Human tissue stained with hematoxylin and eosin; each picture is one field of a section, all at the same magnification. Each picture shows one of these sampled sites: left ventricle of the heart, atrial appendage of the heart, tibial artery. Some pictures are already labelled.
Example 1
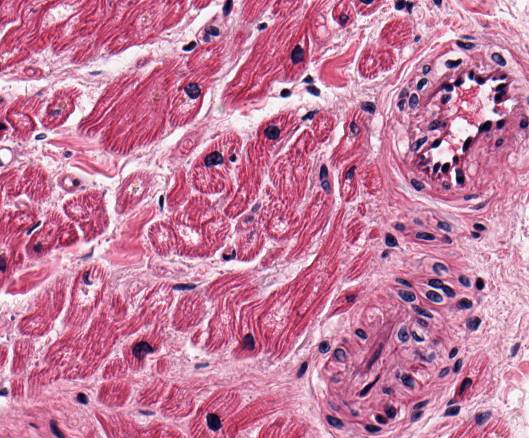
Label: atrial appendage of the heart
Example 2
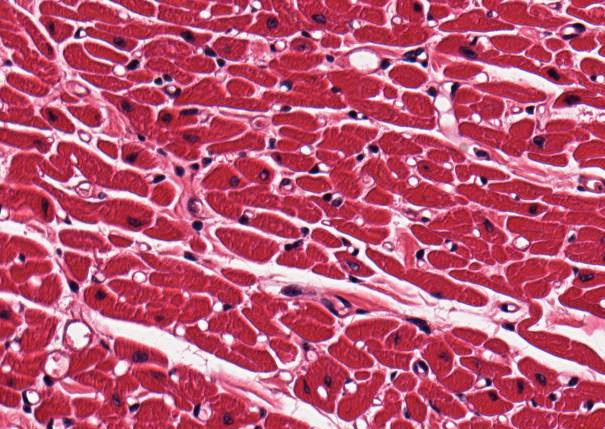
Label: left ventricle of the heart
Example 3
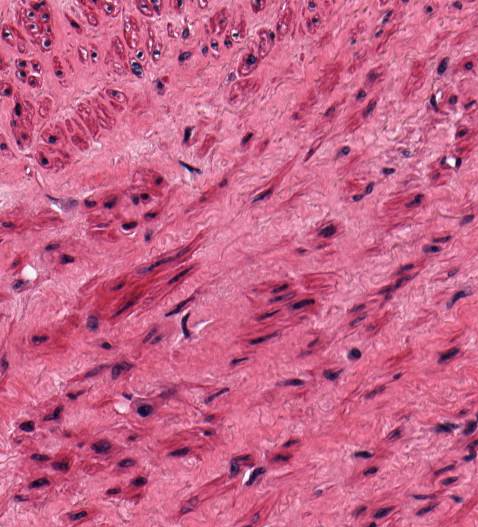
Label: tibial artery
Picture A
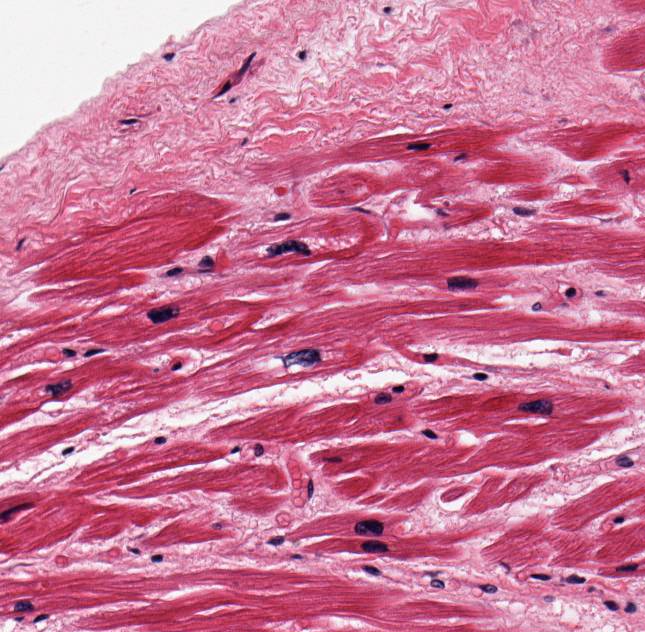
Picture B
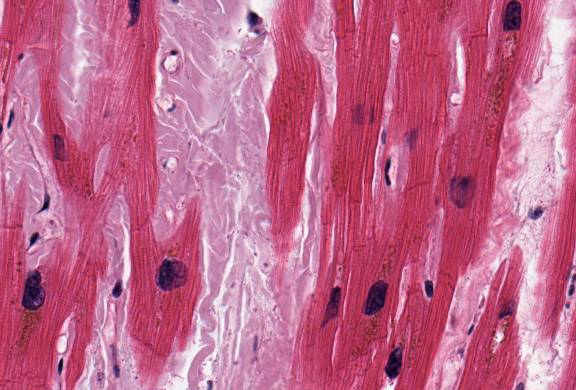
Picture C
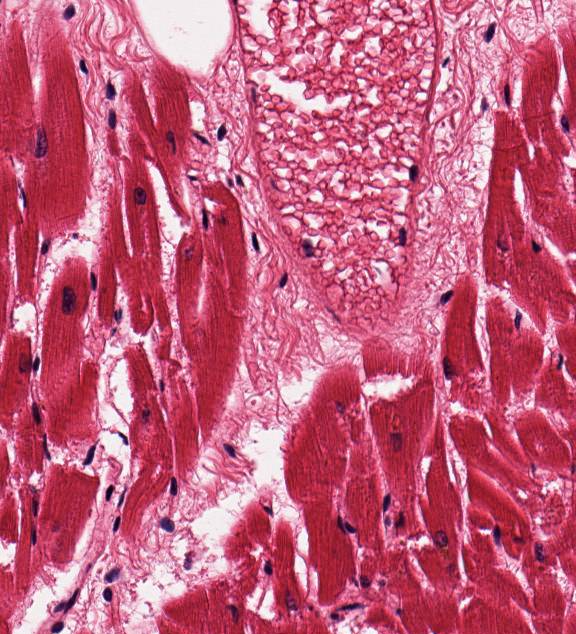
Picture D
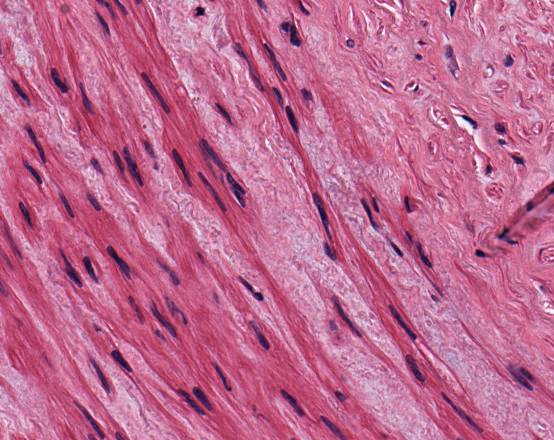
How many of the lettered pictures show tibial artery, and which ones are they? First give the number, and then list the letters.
1: D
